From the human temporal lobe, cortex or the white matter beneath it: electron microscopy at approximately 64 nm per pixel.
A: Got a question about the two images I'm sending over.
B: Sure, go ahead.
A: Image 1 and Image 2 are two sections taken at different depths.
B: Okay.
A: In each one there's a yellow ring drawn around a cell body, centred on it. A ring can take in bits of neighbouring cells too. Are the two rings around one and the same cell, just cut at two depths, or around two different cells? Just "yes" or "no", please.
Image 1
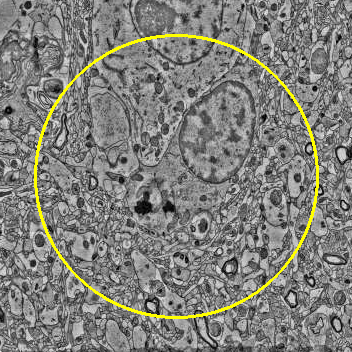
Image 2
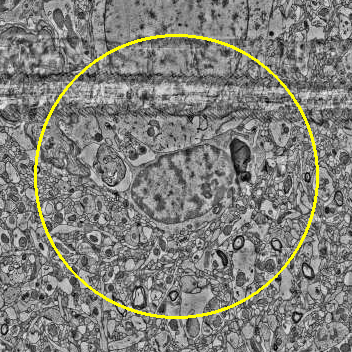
yes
